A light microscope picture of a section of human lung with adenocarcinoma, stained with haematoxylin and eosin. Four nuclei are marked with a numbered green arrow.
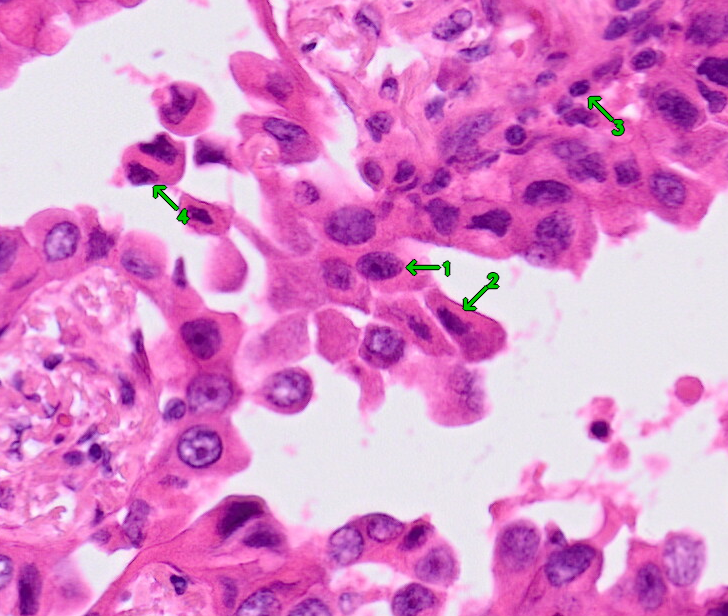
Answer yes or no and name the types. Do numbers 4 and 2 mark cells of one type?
Yes, the cell marked 4 and the cell marked 2 are both carcinoma cells.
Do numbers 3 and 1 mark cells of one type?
No, cell 3 is recognized as a lymphocyte, and cell 1 as a carcinoma cell.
